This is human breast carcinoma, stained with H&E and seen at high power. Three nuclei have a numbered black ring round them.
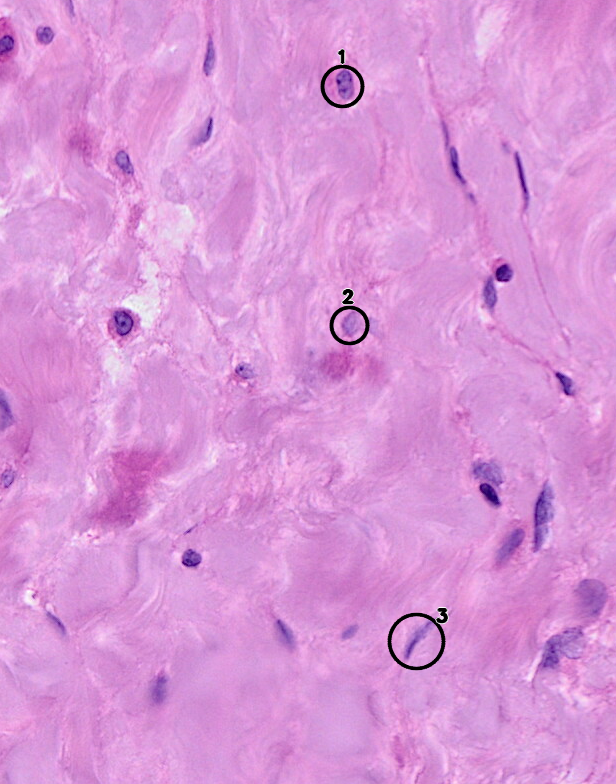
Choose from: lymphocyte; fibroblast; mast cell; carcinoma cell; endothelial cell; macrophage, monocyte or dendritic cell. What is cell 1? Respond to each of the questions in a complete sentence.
The nucleus labeled 1 belongs to a mast cell.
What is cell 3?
The one labeled 3 is a fibroblast, to put it simply.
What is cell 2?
The cell identified by the number 2 is a fibroblast.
